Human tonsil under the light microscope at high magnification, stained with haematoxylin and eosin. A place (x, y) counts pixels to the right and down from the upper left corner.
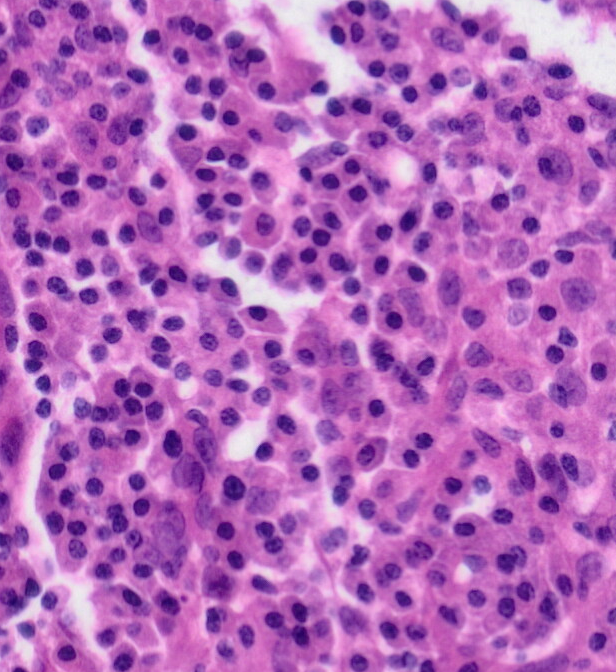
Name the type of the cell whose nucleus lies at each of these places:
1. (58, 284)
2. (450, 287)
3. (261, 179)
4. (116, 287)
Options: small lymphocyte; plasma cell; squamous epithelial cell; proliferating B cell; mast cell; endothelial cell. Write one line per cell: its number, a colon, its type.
1: plasma cell
2: squamous epithelial cell
3: plasma cell
4: plasma cell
